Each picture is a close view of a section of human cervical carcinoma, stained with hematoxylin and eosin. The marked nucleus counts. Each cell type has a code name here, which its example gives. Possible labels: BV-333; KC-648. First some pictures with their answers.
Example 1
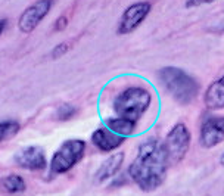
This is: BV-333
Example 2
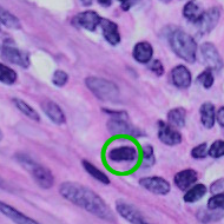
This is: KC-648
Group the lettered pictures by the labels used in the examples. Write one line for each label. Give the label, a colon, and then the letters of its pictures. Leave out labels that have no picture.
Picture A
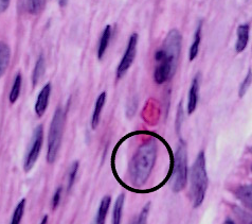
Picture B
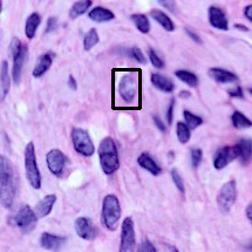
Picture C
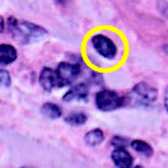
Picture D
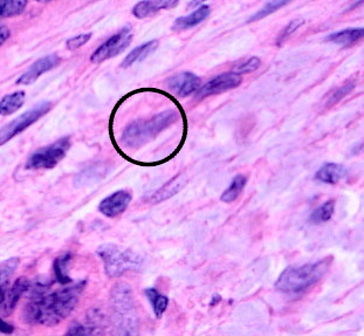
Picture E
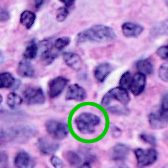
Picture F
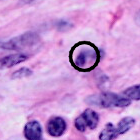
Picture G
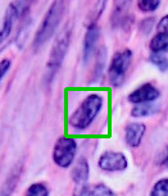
BV-333: A, B, D
KC-648: C, E, F, G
